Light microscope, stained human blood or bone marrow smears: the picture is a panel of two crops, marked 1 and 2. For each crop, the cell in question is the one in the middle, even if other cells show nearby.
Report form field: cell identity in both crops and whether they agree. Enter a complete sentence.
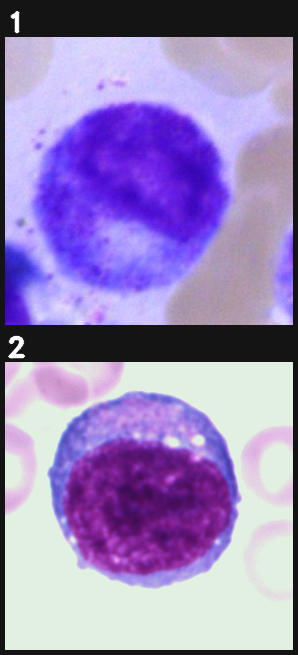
Yes, the cells at the centre of the two crops are both promyelocytes.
